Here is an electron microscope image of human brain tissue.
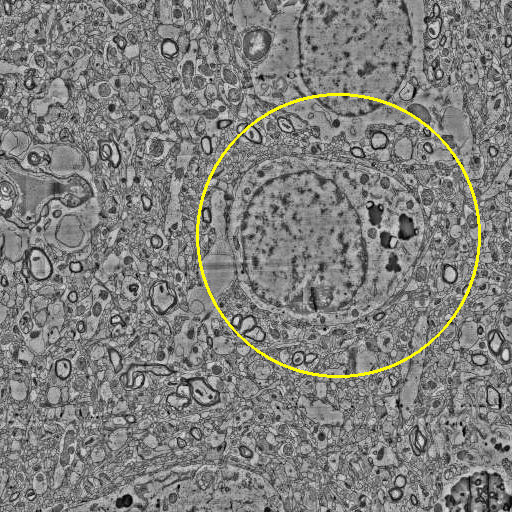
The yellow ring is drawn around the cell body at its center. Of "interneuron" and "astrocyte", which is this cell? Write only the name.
interneuron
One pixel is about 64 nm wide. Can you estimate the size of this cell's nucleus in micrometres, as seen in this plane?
The nucleus measures about 9 micrometers across in this plane.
